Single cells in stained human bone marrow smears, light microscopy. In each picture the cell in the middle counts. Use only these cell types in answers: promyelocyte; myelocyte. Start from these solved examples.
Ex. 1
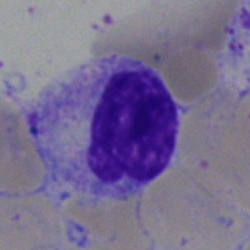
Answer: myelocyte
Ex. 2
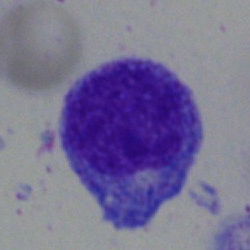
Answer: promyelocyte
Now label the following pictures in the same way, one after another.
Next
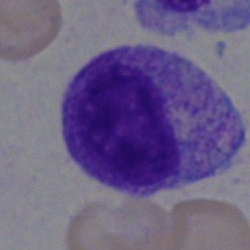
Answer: myelocyte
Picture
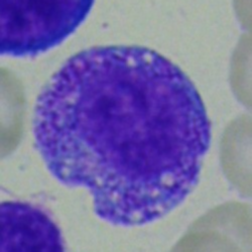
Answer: myelocyte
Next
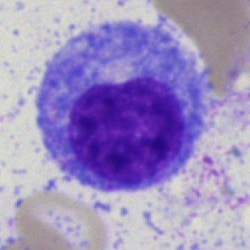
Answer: promyelocyte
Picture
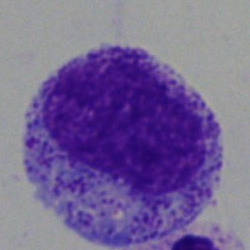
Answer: promyelocyte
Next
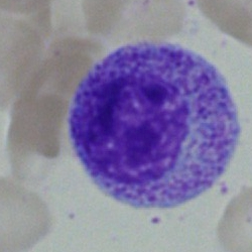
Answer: myelocyte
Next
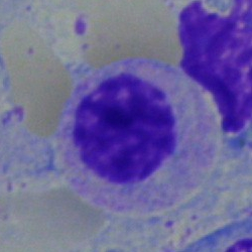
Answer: myelocyte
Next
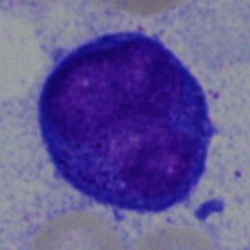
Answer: promyelocyte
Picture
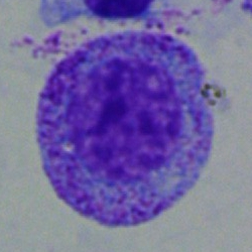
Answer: myelocyte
